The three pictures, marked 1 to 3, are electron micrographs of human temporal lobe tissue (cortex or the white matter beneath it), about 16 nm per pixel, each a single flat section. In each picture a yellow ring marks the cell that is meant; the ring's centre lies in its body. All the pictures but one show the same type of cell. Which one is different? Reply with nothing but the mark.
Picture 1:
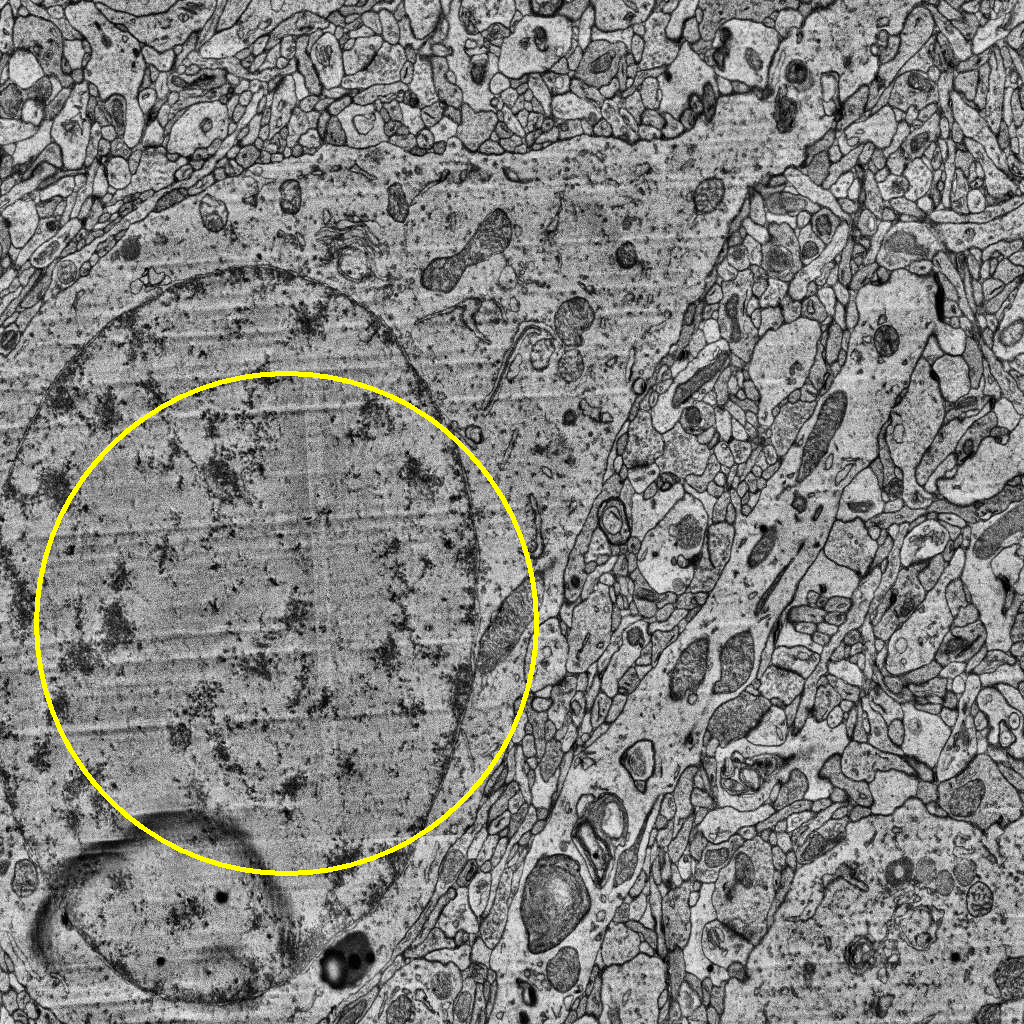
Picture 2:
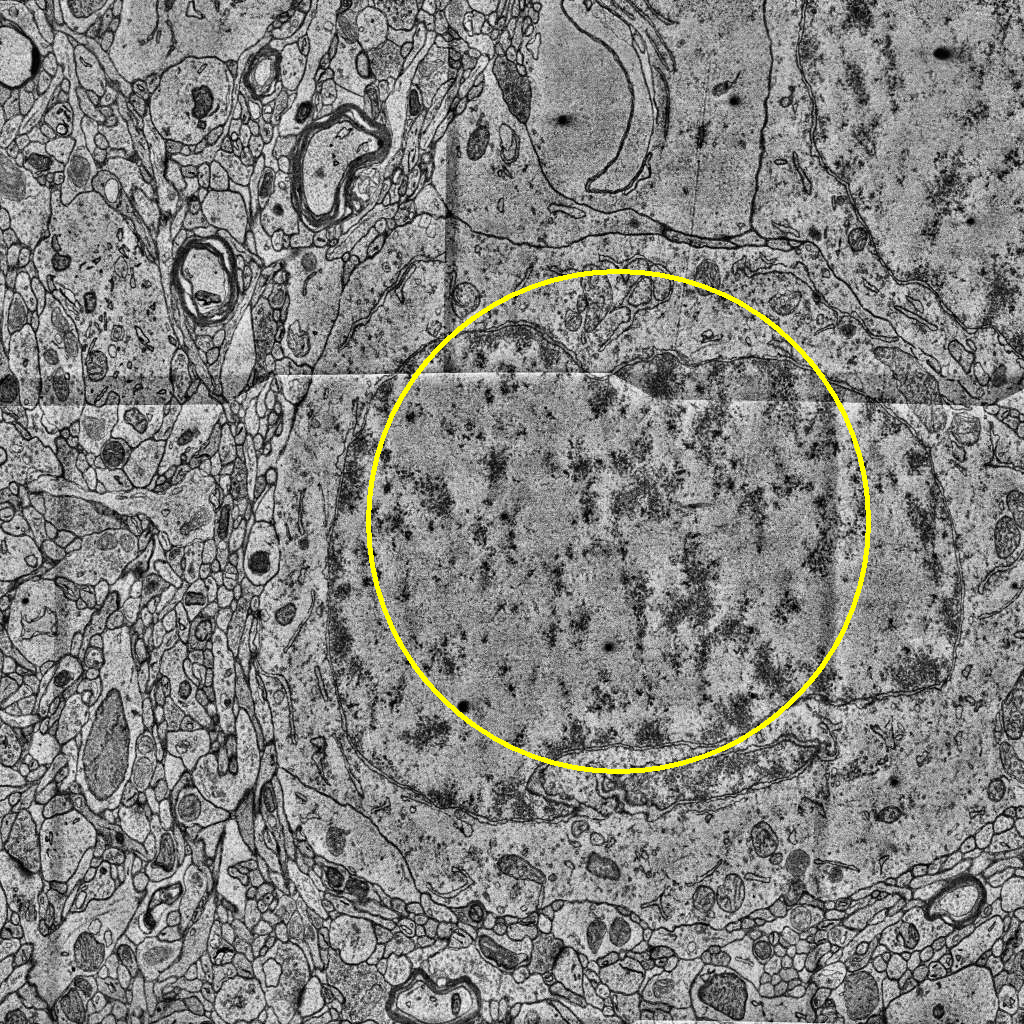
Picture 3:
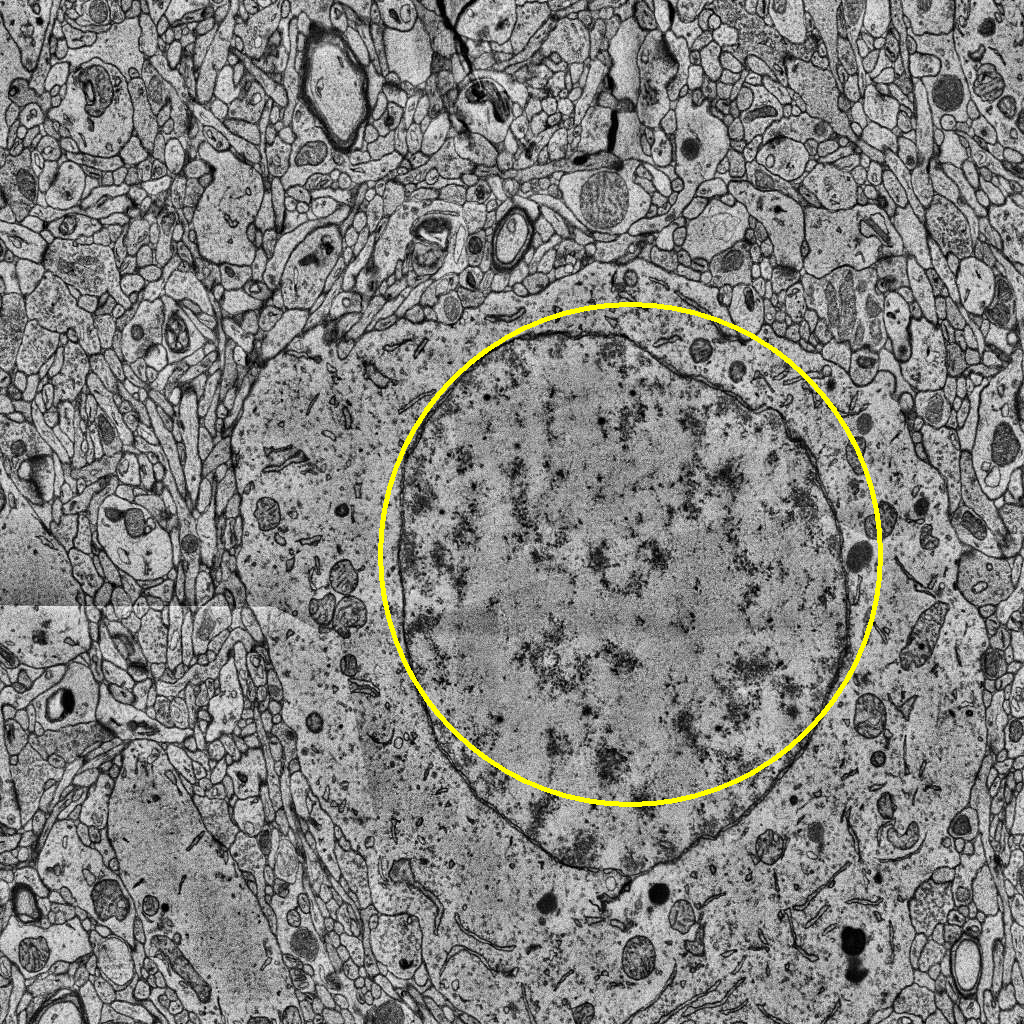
2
